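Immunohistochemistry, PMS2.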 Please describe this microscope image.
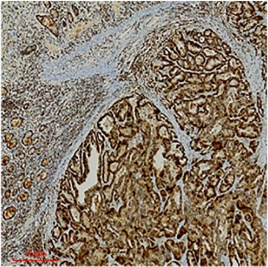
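This section shows tumor tissue in which crowded glandular tumor cells stain strongly brown throughout the nodular tumor areas. The tumor glands are packed tightly with little stroma between them. Bands of paler blue fibrous tissue separate the nodules, and to the left lie smaller, evenly spaced glands that also carry brown staining.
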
